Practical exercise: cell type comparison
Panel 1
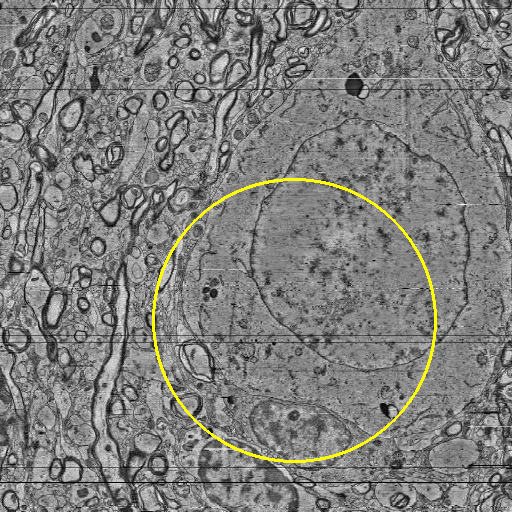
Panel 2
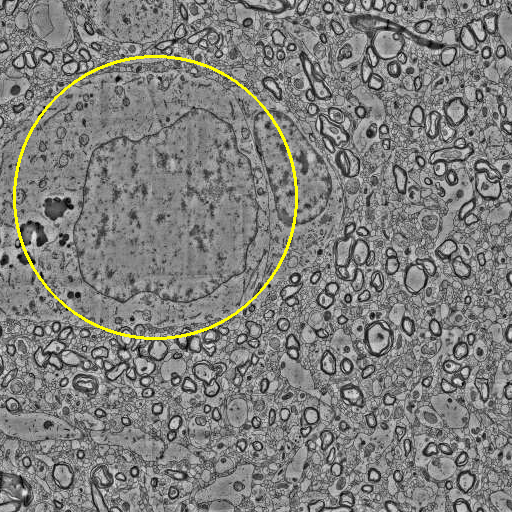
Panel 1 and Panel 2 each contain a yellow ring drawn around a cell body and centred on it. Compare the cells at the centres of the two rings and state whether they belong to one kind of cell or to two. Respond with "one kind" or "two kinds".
one kind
